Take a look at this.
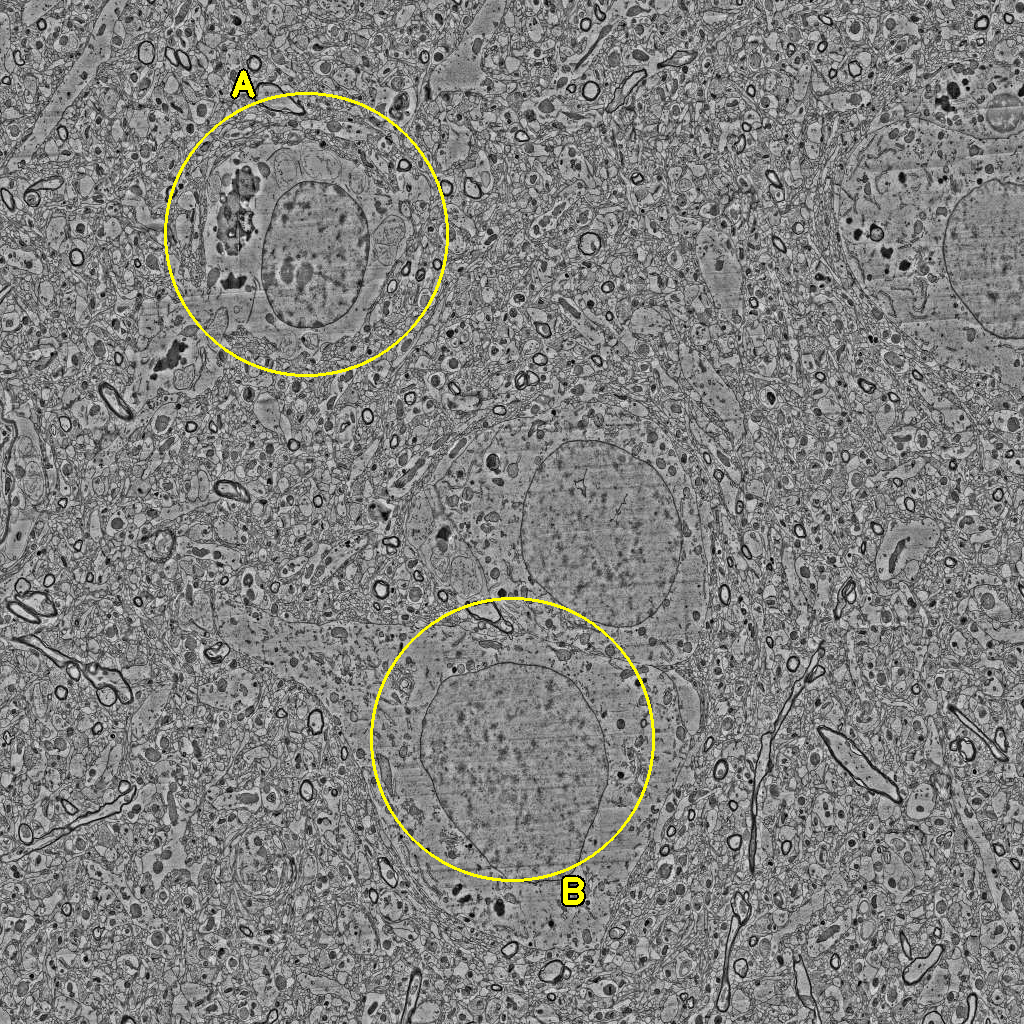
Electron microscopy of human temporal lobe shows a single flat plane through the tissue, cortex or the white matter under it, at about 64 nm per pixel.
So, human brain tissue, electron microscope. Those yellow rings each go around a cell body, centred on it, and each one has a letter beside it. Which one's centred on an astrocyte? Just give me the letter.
A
